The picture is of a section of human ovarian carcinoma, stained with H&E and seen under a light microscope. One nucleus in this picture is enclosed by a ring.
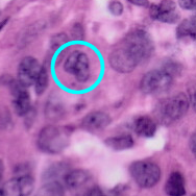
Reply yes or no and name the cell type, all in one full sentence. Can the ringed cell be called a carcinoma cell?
No, mate, the ringed cell is a macrophage or monocyte rather than a carcinoma cell.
